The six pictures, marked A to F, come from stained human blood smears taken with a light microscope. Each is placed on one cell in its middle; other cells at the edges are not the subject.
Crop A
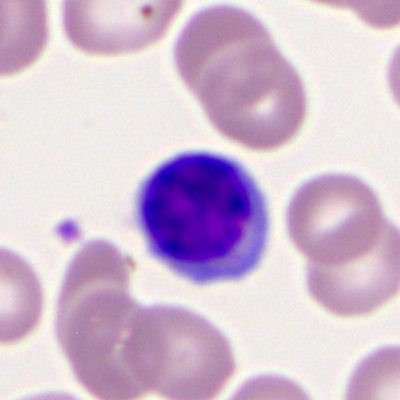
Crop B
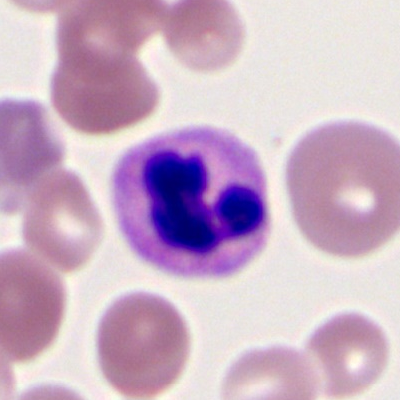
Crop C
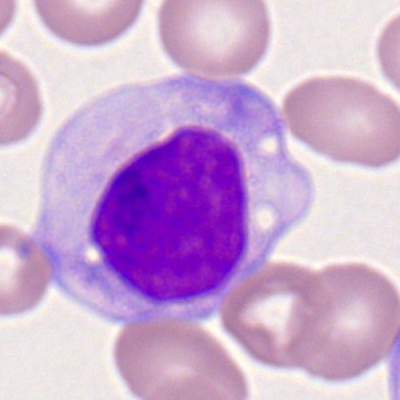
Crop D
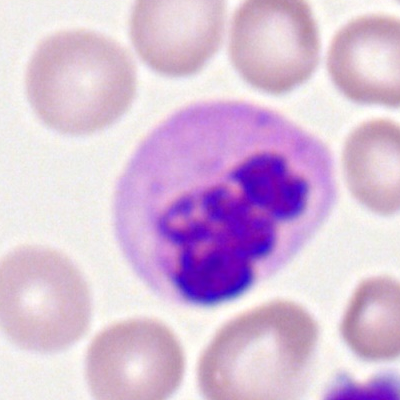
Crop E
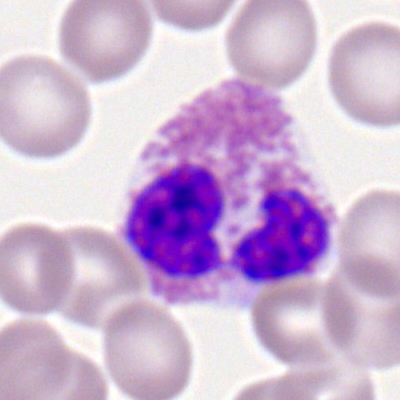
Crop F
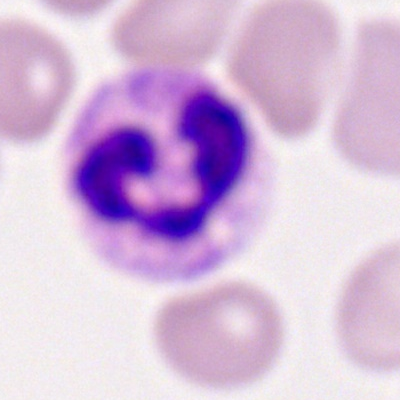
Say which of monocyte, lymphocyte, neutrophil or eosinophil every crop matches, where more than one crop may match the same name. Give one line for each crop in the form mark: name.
A: lymphocyte
B: neutrophil
C: monocyte
D: neutrophil
E: eosinophil
F: neutrophil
